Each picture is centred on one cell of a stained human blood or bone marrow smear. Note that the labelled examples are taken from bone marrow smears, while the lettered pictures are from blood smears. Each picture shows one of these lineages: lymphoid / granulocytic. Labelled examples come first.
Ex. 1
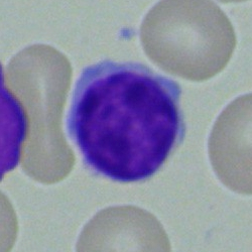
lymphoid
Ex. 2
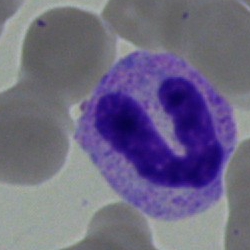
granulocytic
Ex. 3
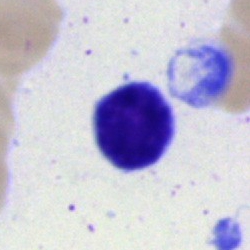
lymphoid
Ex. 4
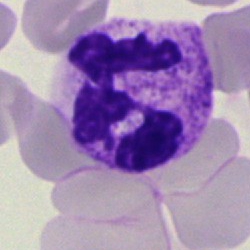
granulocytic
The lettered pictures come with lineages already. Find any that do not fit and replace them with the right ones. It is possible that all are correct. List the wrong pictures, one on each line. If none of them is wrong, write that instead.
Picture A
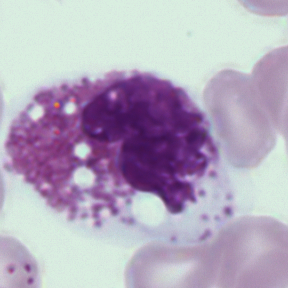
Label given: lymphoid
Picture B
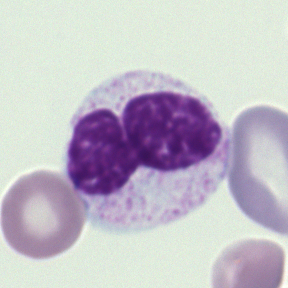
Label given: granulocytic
A: not lymphoid but granulocytic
